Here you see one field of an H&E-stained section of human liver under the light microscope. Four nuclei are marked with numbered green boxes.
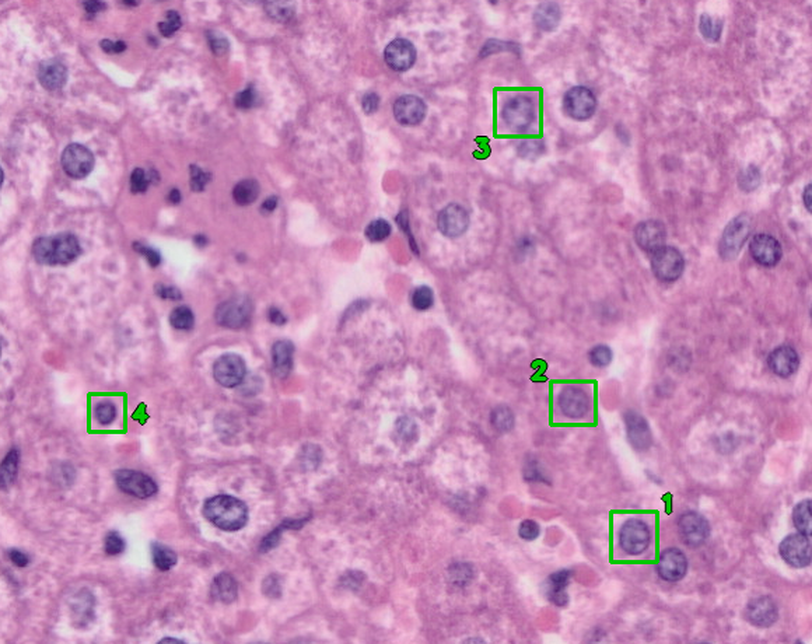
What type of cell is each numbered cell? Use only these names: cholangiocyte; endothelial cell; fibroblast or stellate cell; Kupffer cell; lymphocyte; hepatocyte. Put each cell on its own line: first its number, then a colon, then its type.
1: hepatocyte
2: hepatocyte
3: hepatocyte
4: lymphocyte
